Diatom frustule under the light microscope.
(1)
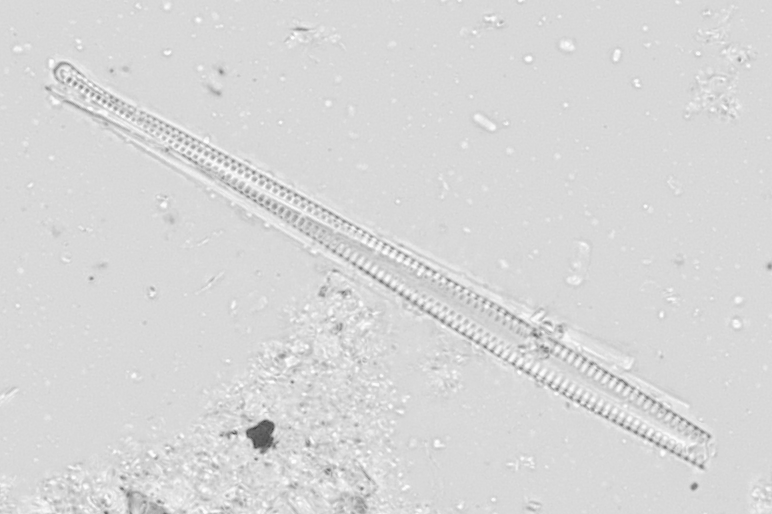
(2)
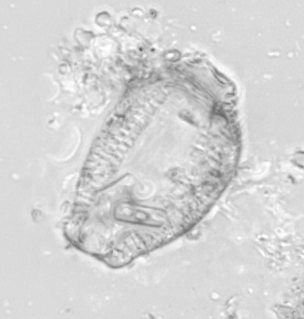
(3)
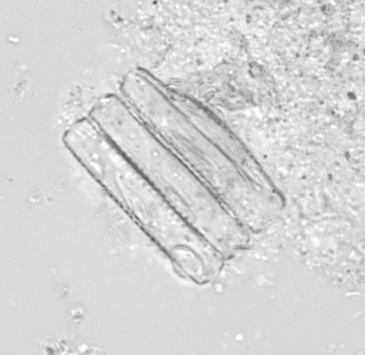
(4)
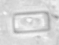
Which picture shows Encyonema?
Picture 3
